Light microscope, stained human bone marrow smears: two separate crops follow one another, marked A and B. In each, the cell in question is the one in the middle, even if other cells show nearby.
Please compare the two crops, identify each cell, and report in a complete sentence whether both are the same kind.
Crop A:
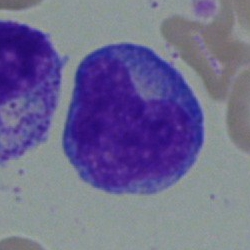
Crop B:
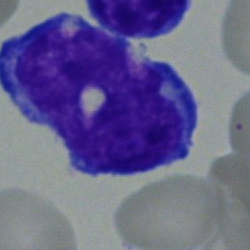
Yes, both crops feature blasts at the centre.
